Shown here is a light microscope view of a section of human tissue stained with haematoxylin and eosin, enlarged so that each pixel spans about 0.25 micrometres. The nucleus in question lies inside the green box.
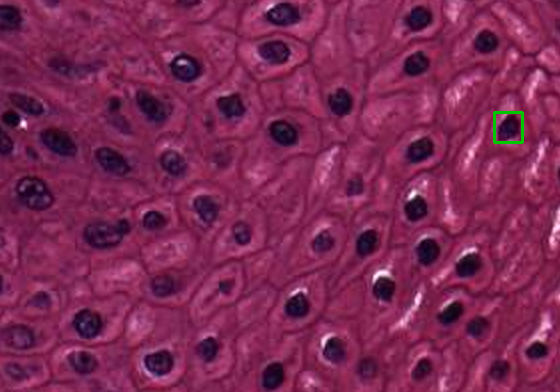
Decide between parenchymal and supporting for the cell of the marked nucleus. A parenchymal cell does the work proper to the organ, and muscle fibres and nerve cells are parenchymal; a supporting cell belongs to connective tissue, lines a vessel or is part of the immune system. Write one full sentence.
The marked nucleus lies within a parenchymal cell, which is a squamous epithelial cell.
